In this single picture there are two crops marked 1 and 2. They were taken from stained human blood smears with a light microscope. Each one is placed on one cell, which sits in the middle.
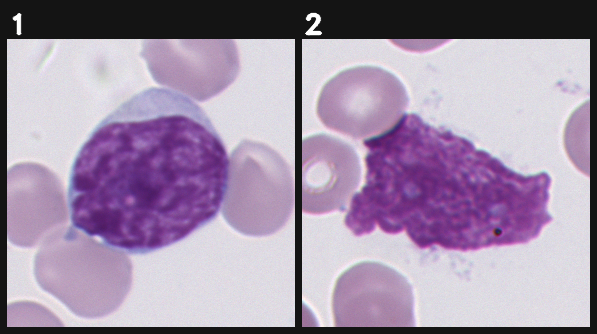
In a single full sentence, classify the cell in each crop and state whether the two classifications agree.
No, the cell centred in crop 1 is a myeloblast, and that centred in crop 2 is a smudge cell.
